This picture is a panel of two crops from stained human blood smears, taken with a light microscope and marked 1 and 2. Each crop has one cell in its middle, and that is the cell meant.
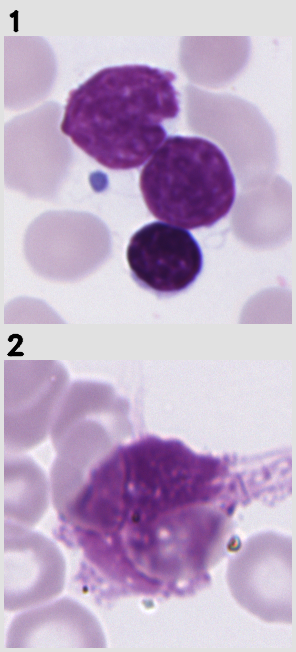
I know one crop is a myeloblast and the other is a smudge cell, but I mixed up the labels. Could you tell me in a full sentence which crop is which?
The designated cell in crop 1 is a myeloblast, and the designated cell in crop 2 is a smudge cell.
